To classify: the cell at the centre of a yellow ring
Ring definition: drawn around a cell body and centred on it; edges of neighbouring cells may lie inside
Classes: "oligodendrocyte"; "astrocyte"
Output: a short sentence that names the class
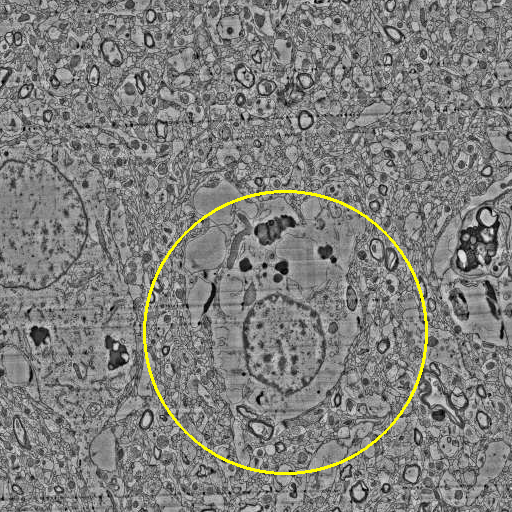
The ringed cell is an astrocyte.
